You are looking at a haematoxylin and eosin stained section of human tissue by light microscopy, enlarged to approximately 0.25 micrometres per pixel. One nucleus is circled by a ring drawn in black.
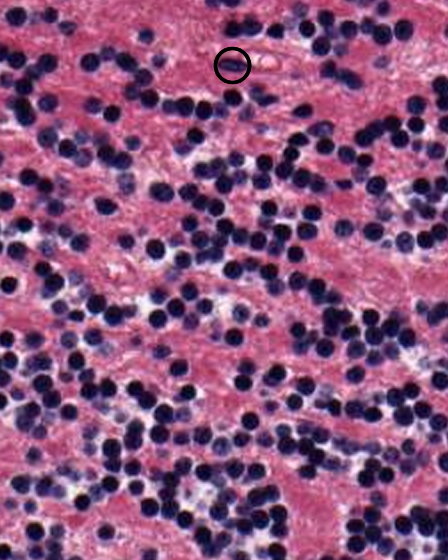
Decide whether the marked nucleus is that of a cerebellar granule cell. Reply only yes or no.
no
